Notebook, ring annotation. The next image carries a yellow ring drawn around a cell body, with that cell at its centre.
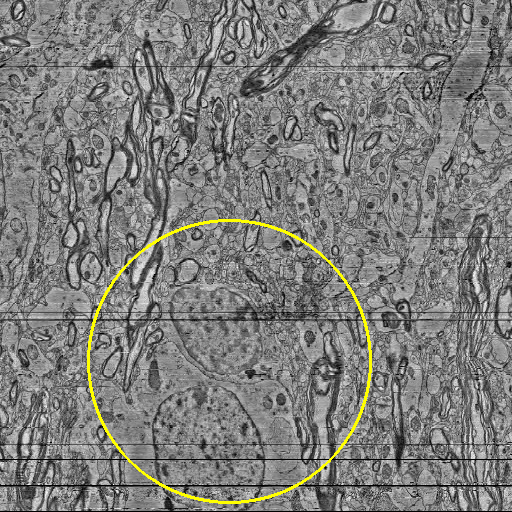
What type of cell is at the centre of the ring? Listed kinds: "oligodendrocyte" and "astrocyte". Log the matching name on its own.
oligodendrocyte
